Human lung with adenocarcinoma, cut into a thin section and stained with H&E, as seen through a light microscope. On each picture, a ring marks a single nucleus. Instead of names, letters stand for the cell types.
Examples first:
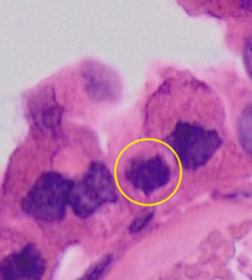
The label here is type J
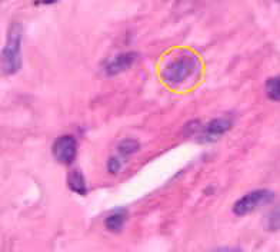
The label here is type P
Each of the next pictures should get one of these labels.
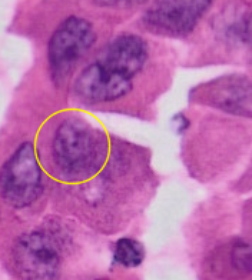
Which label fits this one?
type J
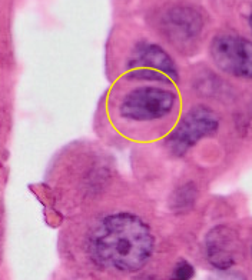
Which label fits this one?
type J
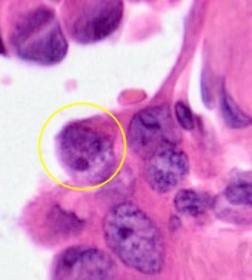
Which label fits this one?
type J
